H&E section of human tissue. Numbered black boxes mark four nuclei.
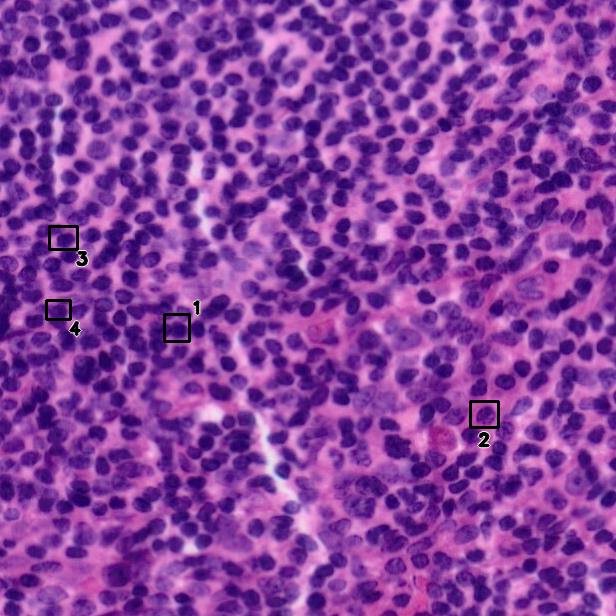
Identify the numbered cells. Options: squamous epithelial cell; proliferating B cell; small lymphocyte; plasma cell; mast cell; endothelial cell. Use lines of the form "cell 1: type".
cell 1: small lymphocyte
cell 2: plasma cell
cell 3: small lymphocyte
cell 4: small lymphocyte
